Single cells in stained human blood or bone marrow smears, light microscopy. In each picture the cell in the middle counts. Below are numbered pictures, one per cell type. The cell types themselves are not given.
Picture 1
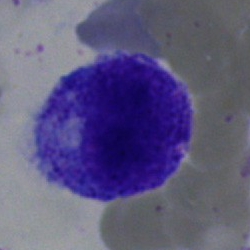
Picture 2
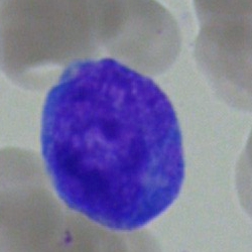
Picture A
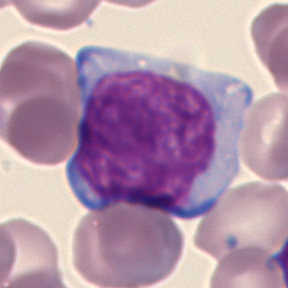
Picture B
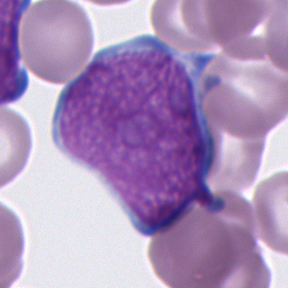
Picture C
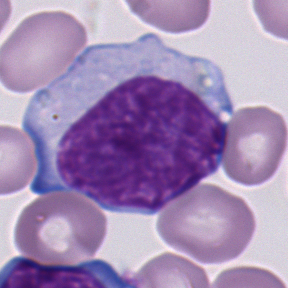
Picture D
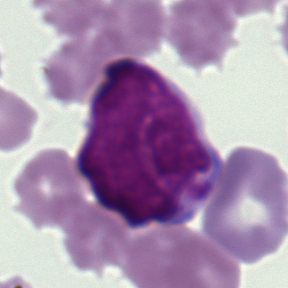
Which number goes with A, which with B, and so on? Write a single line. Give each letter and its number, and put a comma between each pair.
A 2, B 2, C 2, D 2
